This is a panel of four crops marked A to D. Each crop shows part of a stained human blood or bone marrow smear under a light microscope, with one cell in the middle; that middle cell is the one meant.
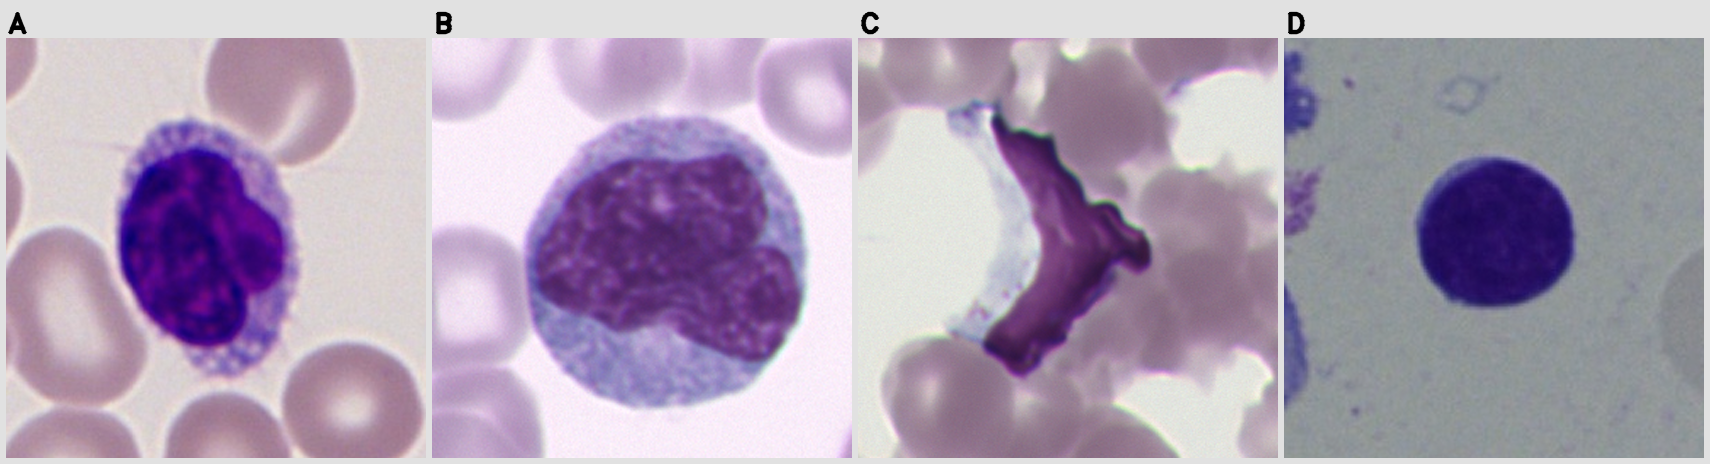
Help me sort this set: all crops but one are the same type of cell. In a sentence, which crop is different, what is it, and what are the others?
Crop B is a monocyte, and the other crops all show lymphocytes.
